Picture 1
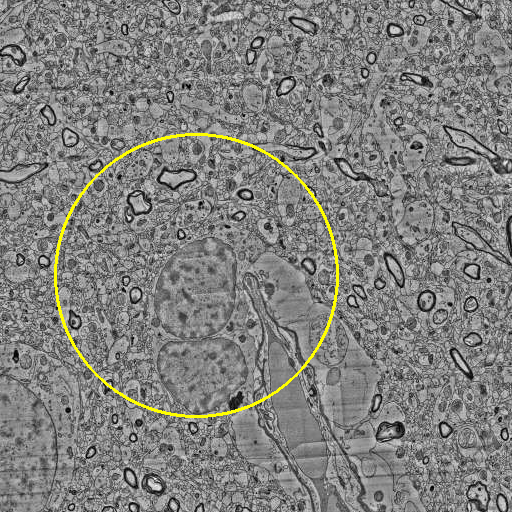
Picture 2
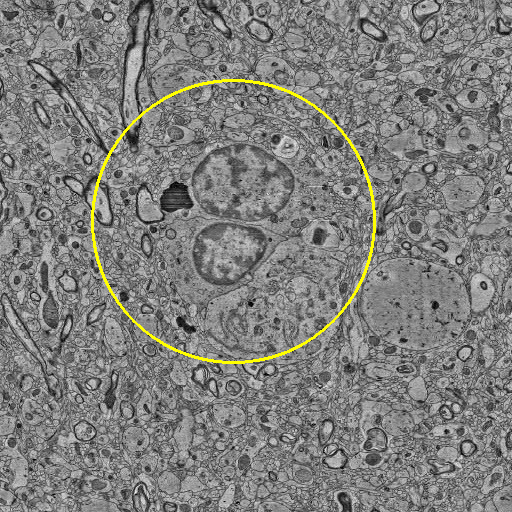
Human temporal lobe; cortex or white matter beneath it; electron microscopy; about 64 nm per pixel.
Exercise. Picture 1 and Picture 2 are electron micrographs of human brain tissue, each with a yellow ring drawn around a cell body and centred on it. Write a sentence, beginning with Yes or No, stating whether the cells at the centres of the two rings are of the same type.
Yes, the cells at the centres of both rings are of the same type.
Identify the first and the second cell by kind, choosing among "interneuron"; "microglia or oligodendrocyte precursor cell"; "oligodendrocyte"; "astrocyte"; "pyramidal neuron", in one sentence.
Both the first and the second picture show an oligodendrocyte in the ring.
